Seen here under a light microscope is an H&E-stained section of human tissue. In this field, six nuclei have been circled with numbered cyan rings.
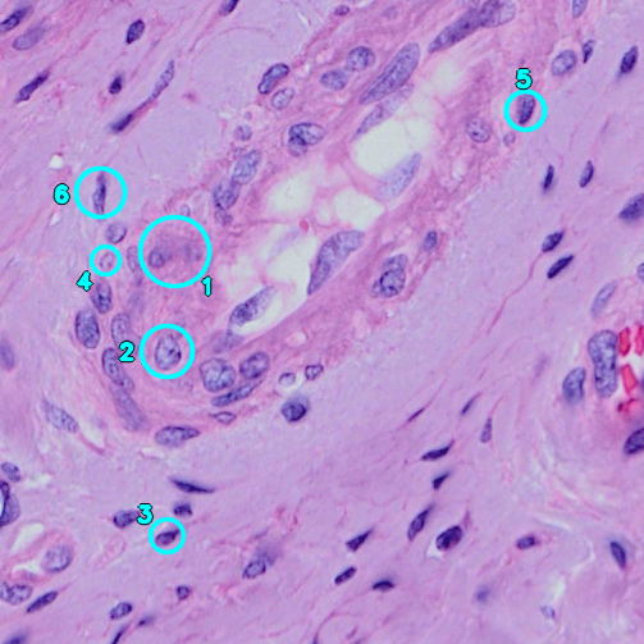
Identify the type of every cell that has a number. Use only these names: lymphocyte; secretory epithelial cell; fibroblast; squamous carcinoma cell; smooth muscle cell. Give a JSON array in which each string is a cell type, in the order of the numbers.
["smooth muscle cell", "smooth muscle cell", "fibroblast", "smooth muscle cell", "smooth muscle cell", "fibroblast"]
